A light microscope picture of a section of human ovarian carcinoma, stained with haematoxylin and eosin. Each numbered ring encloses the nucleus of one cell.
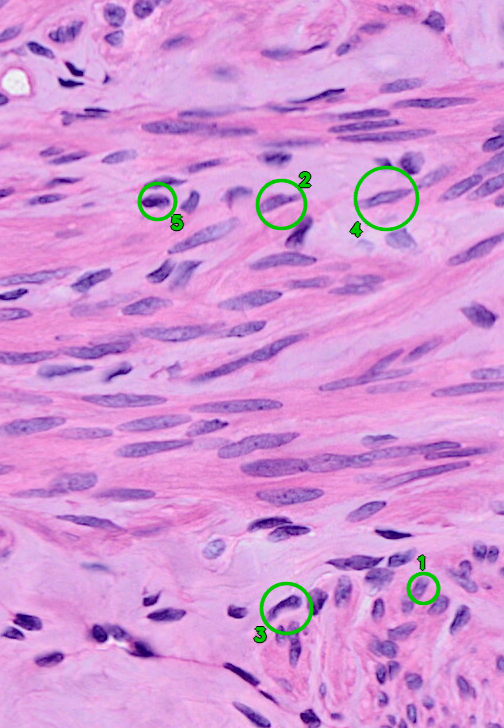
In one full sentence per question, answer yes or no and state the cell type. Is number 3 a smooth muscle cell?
No, cell 3 is a fibroblast; it is not a smooth muscle cell.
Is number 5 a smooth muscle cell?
No, at number 5 sits a fibroblast, not a smooth muscle cell.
